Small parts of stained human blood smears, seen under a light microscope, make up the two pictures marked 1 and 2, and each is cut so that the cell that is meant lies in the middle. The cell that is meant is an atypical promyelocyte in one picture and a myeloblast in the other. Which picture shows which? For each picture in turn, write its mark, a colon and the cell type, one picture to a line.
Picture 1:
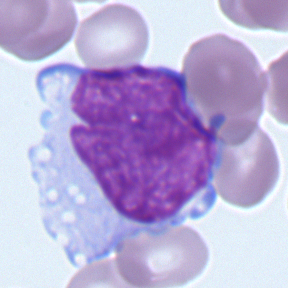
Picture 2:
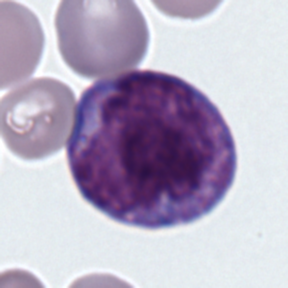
1: myeloblast
2: atypical promyelocyte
